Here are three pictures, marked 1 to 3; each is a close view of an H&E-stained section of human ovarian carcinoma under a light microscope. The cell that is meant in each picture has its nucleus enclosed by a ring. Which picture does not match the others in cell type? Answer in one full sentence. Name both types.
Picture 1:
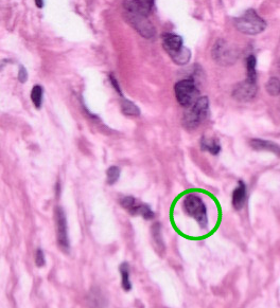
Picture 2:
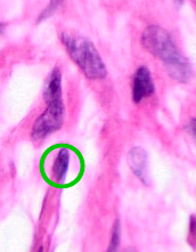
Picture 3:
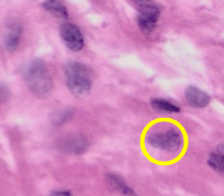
The others show fibroblasts, but picture 1 shows a “macrophage or monocyte”.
